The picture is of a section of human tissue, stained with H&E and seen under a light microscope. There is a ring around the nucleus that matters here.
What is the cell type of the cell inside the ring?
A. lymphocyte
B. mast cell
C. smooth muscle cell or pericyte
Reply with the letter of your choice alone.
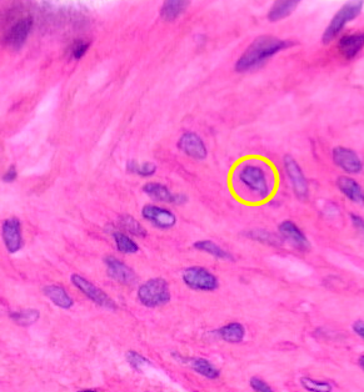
C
